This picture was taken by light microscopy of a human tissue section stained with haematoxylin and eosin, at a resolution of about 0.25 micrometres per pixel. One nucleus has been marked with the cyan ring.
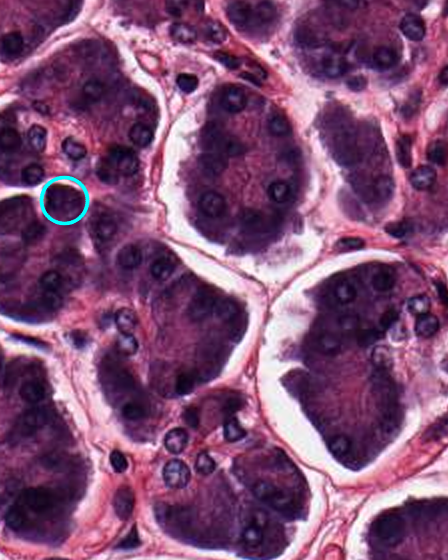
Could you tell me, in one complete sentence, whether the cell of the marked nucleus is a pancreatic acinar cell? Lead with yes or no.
Yes, the marked nucleus is housed in a pancreatic acinar cell.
